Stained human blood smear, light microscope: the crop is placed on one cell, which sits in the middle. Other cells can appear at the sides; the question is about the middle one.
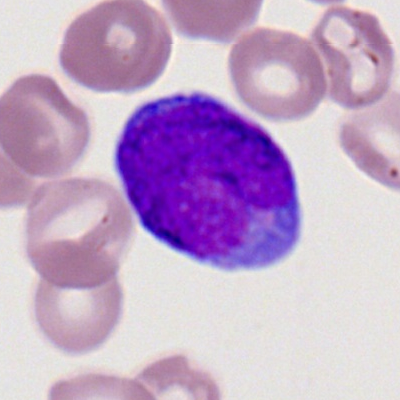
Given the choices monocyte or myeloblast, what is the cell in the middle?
myeloblast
